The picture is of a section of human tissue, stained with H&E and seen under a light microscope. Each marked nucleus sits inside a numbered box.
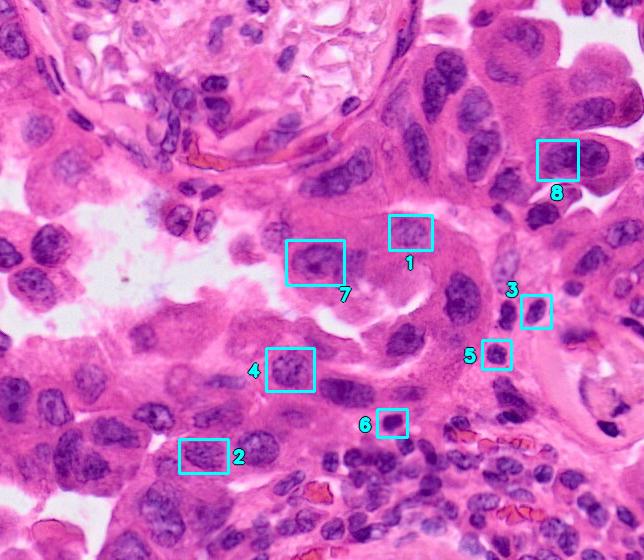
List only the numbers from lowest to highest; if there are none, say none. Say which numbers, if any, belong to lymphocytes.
3, 5, 6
